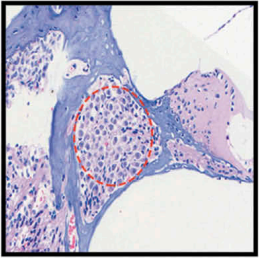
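This section of the cochlea shows the spiral ganglion lying in a canal within blue-stained bone, its neuron cell bodies outlined by a red dashed oval. The neurons are round, closely packed cells with pink cytoplasm and dark purple nuclei, filling the canal almost completely. The surrounding bone stains blue and contains small vascular spaces, while to the right pale pink soft tissue with scattered nuclei borders an open fluid space.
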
